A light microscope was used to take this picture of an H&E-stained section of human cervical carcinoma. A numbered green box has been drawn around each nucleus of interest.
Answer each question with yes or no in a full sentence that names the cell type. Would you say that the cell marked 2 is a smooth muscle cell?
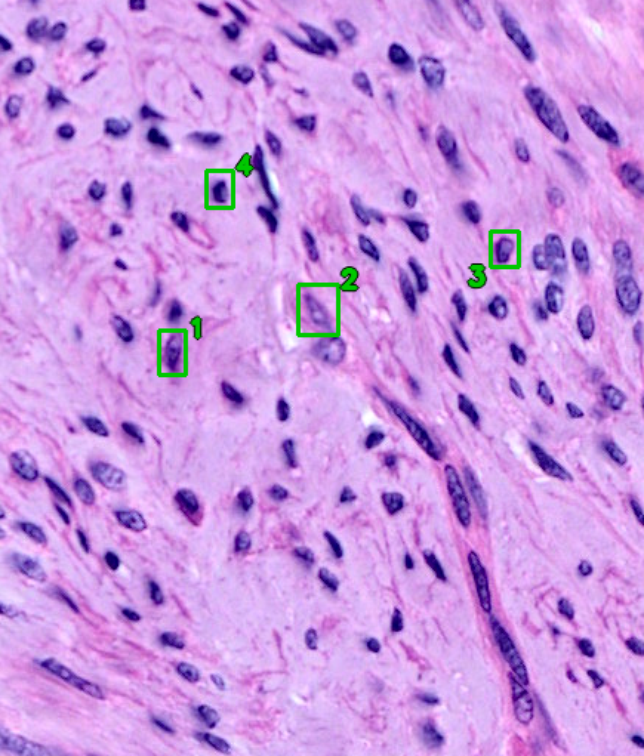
No, number 2 identifies an endothelial cell, not a smooth muscle cell.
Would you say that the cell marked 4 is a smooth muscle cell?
No, the cell given number 4 is a fibroblast, as opposed to a smooth muscle cell.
